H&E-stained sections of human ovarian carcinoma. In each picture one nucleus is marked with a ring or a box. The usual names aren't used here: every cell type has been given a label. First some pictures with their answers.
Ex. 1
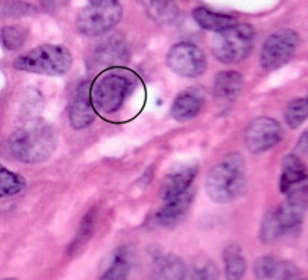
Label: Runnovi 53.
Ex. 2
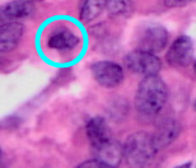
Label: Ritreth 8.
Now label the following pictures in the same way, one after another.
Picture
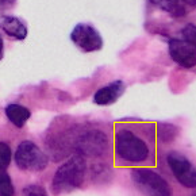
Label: Runnovi 53.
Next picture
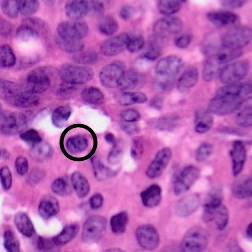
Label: Ritreth 8.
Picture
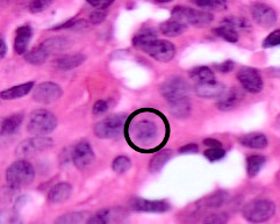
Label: Runnovi 53.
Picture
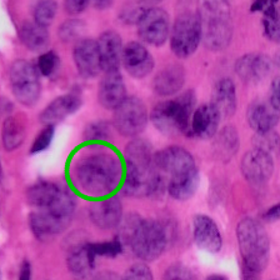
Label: Runnovi 53.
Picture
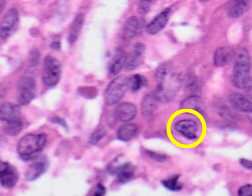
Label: Ritreth 8.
